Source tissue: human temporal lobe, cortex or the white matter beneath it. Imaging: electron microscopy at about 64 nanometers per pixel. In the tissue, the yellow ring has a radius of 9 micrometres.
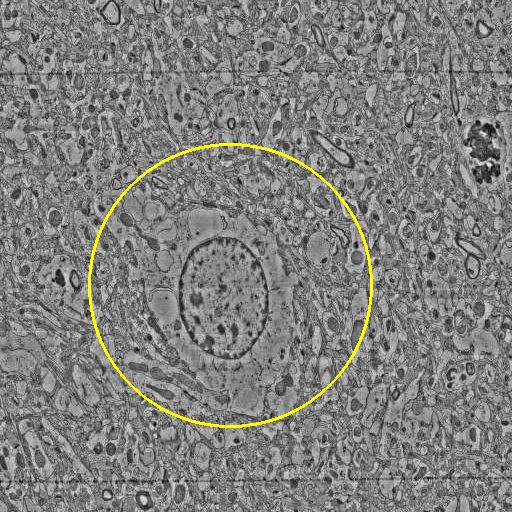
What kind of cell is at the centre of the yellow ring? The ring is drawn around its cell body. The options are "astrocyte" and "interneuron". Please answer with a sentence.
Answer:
The yellow ring marks the cell body of an astrocyte.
